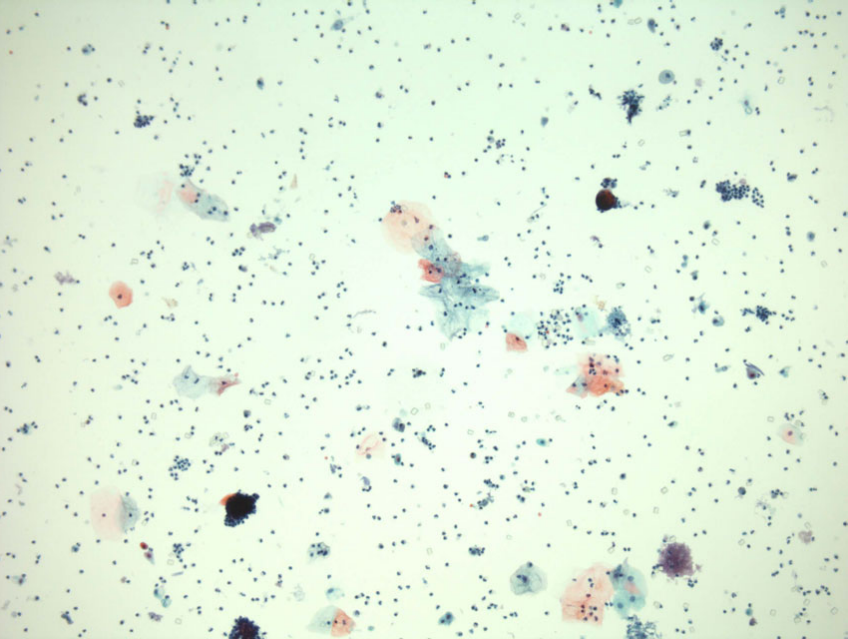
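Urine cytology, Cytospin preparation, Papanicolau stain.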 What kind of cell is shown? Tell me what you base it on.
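Neutrophil ploymorphs. Numerous small round cells with dark nuclei are scattered throughout the background. Many of these small cells lie in loose clusters. These small cells are far smaller than the large flat cells.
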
